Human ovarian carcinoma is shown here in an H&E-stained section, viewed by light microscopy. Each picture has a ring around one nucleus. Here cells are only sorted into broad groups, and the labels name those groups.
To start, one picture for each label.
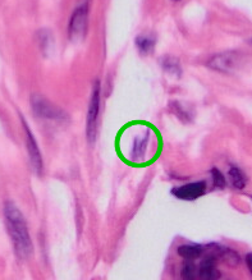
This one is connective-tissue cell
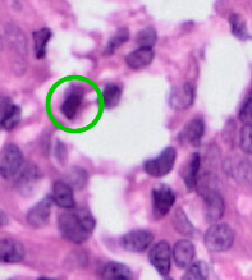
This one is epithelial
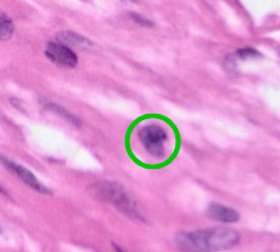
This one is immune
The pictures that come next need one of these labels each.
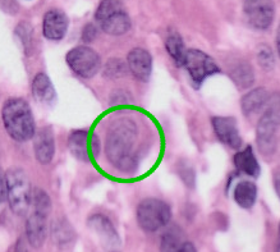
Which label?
epithelial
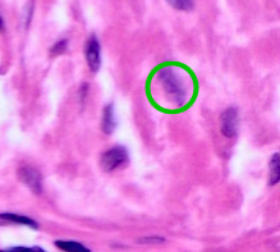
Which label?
connective-tissue cell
